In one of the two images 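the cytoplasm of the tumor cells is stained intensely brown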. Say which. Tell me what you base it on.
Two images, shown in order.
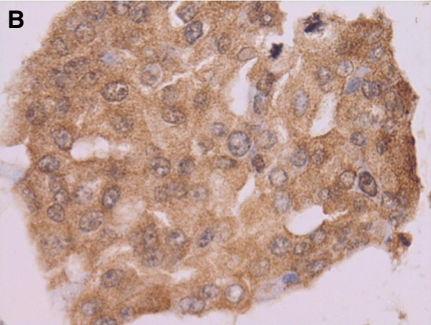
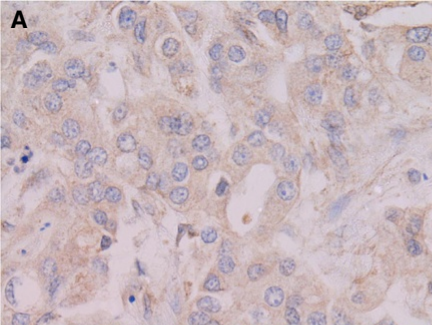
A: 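First image: the tumor cell cytoplasm is a deep, even brown. Second image: the cytoplasm is only faintly tan, with blue nuclei standing out against a pale background. On this evidence: the first image.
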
